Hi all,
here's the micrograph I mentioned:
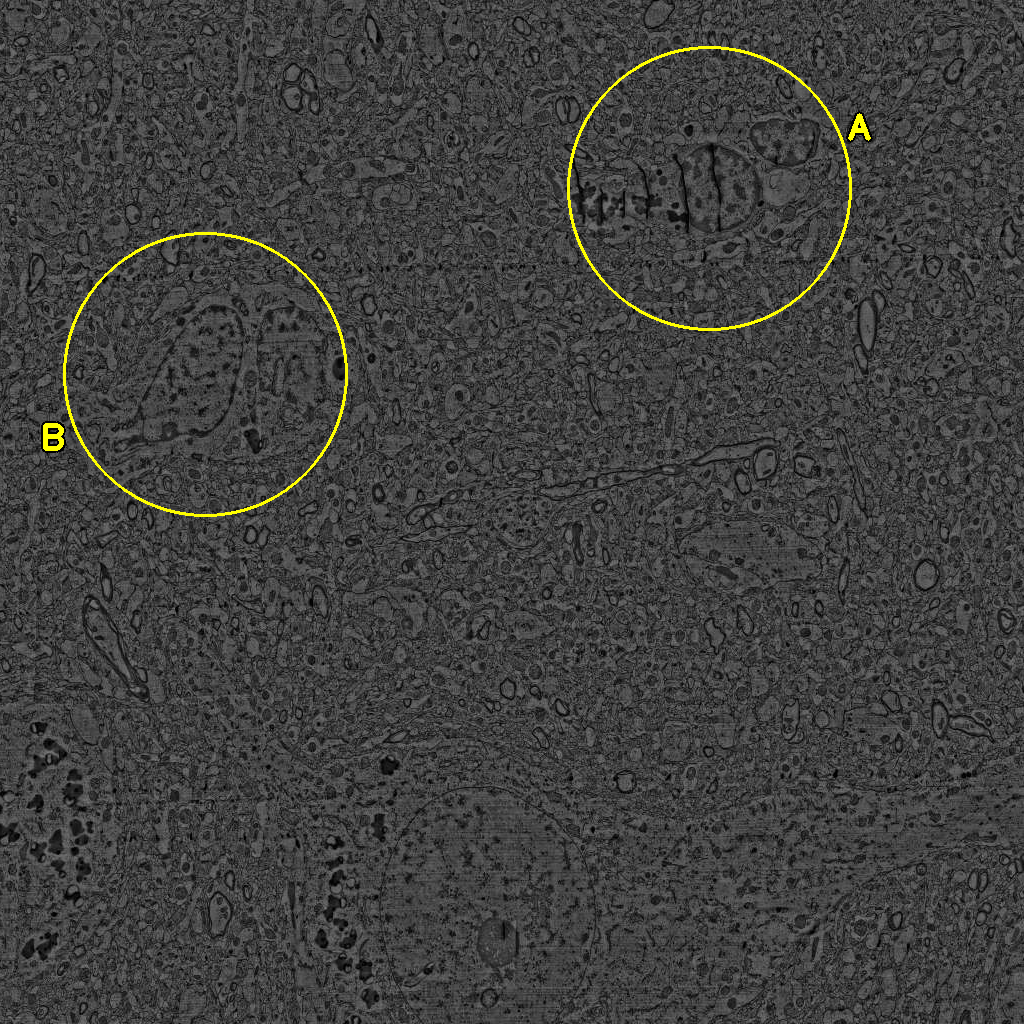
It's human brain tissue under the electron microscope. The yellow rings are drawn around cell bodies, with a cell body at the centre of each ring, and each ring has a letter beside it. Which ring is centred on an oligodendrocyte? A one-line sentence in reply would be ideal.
It's the one labelled A.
